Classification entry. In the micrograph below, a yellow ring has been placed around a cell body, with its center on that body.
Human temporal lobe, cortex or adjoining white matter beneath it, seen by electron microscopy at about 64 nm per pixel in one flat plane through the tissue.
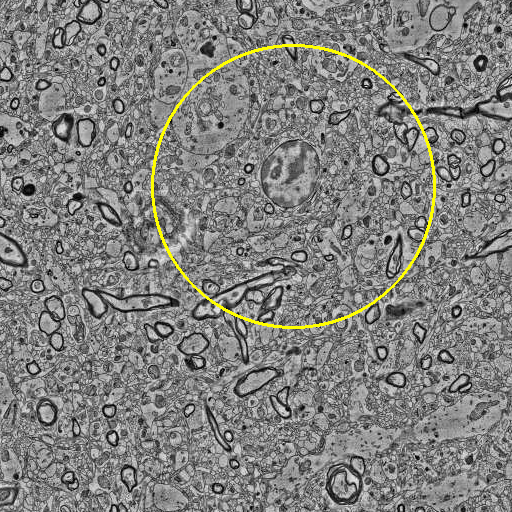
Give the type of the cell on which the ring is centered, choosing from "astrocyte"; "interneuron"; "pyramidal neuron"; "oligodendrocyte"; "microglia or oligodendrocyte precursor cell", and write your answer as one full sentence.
The cell body at the center of the yellow ring belongs to a microglial cell or oligodendrocyte precursor cell.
